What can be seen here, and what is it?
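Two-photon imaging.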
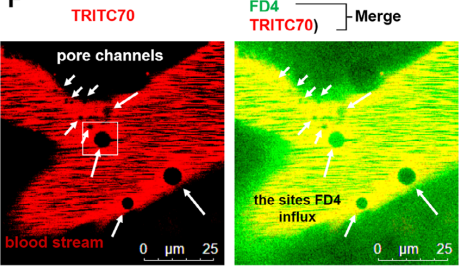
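The vessel lumen crosses the field as a broad red band with a fine streaky texture, and the darker tissue lies outside it. Round black spots of different sizes are scattered within the red band and along its edges, from tiny dots to holes several micrometres across. In the merged image these same spots are filled with green, the same colour as the fluid lying outside the vessel.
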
